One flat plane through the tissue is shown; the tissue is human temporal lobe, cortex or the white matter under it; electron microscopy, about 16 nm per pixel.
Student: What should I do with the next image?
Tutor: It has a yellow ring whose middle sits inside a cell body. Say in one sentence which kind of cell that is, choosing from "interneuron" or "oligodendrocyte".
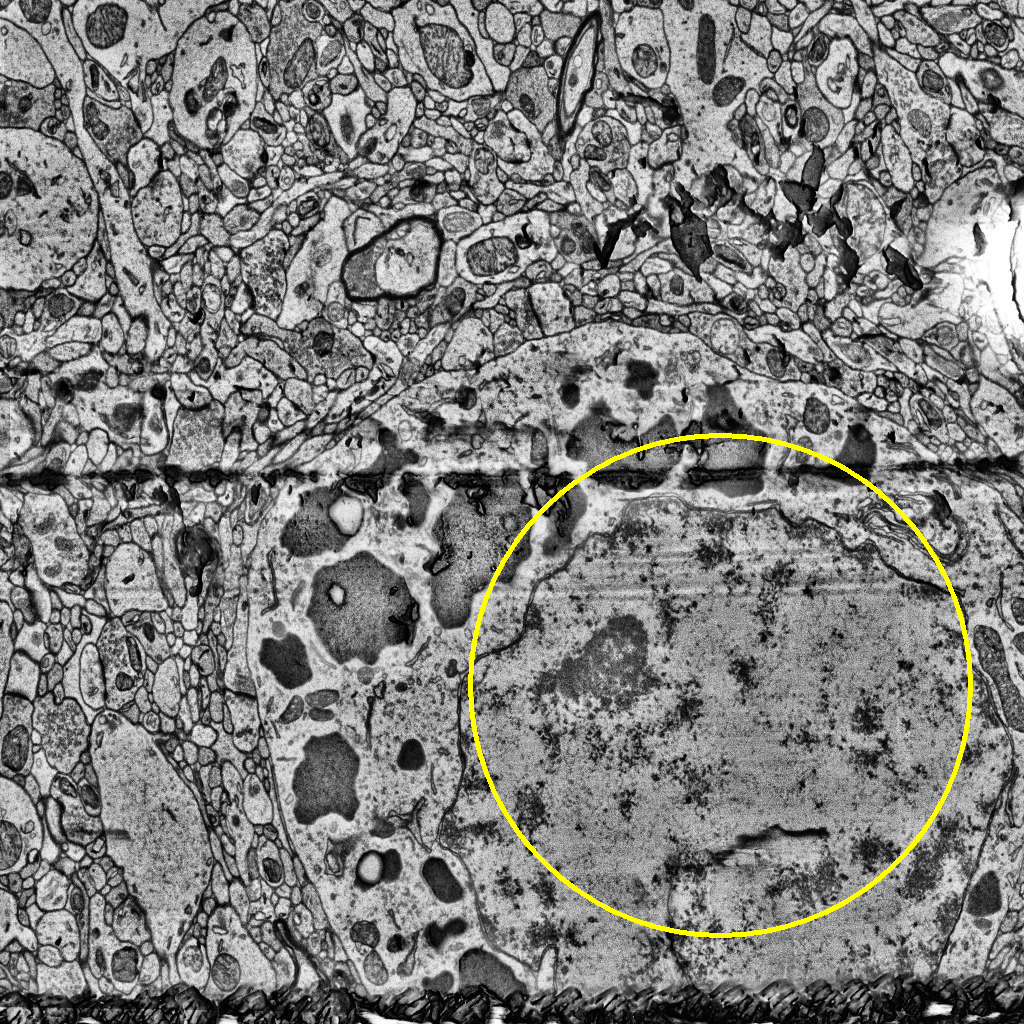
The ring's centre is occupied by an interneuron.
